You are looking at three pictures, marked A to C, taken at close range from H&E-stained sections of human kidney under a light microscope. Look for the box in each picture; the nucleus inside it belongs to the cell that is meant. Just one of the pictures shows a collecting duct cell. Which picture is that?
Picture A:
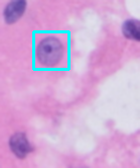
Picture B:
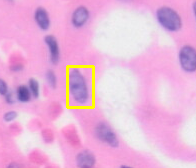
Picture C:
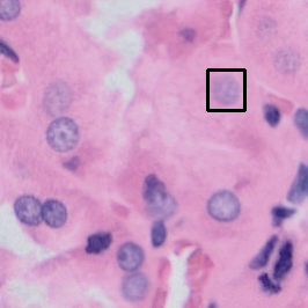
B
